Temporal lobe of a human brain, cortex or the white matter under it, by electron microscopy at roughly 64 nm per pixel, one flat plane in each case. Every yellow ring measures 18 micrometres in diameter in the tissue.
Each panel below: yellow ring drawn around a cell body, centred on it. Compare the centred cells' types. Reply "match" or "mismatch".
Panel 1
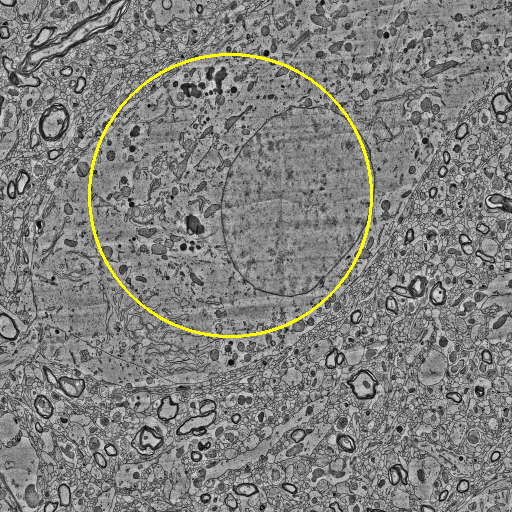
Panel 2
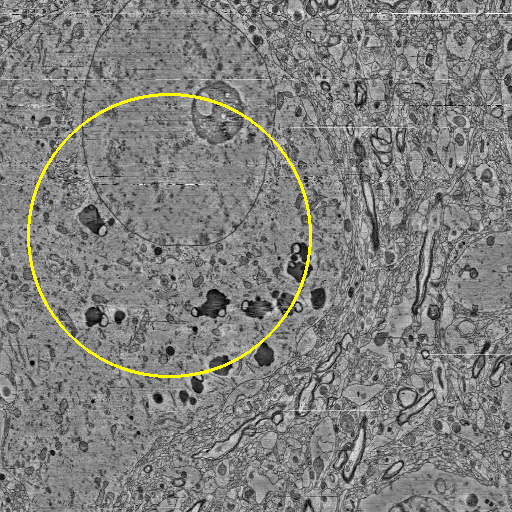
match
